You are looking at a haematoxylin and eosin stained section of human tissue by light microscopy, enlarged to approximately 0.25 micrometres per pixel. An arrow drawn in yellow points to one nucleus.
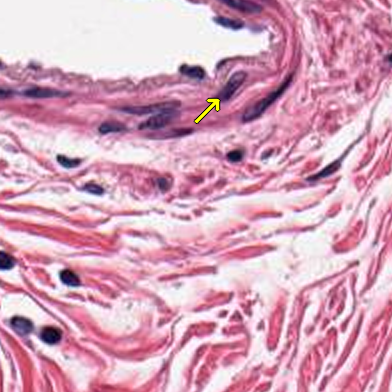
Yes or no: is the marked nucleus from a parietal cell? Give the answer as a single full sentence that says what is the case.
No, the marked nucleus is no part of a parietal cell.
